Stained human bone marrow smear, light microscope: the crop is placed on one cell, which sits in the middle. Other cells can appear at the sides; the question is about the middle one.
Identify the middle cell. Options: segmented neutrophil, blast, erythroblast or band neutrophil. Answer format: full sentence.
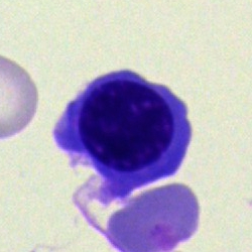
The cell featured at the centre of this crop is an erythroblast.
